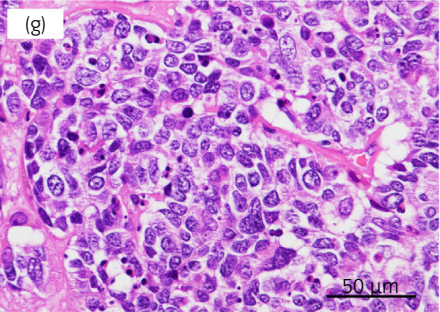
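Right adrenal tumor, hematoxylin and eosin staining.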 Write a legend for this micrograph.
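The nuclei are large, round to oval and vesicular, with coarse chromatin and visible nucleoli, and they vary noticeably in size and shape. The cells have moderate amounts of pale pink to purple cytoplasm and are crowded together with little intervening stroma.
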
